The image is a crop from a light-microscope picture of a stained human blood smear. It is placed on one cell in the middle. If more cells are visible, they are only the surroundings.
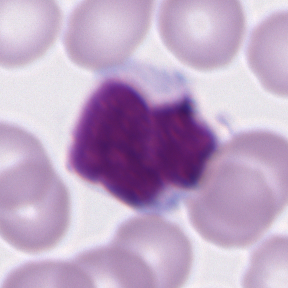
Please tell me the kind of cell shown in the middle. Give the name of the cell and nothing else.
lymphocyte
